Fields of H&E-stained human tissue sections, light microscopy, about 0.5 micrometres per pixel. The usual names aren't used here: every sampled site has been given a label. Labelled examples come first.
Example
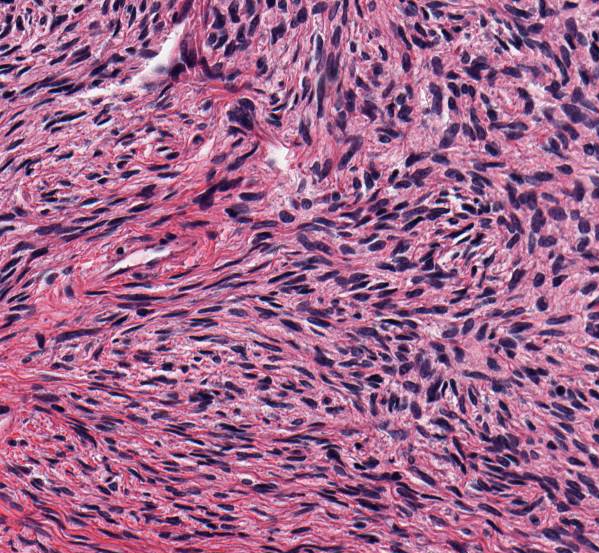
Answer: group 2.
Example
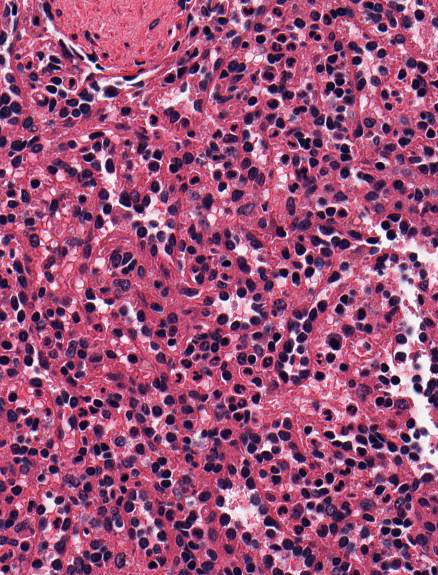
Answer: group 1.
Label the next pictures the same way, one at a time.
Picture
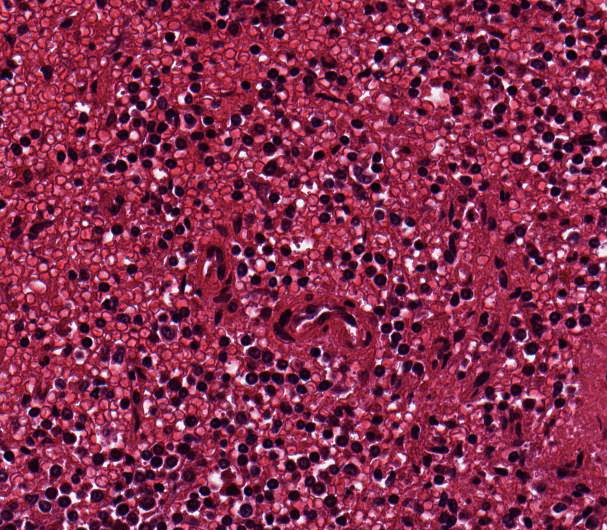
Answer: group 1.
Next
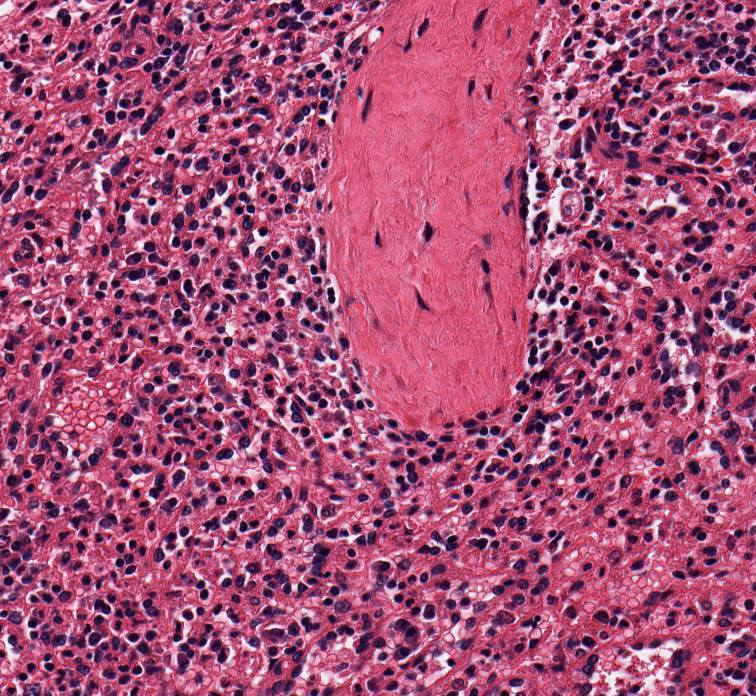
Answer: group 1.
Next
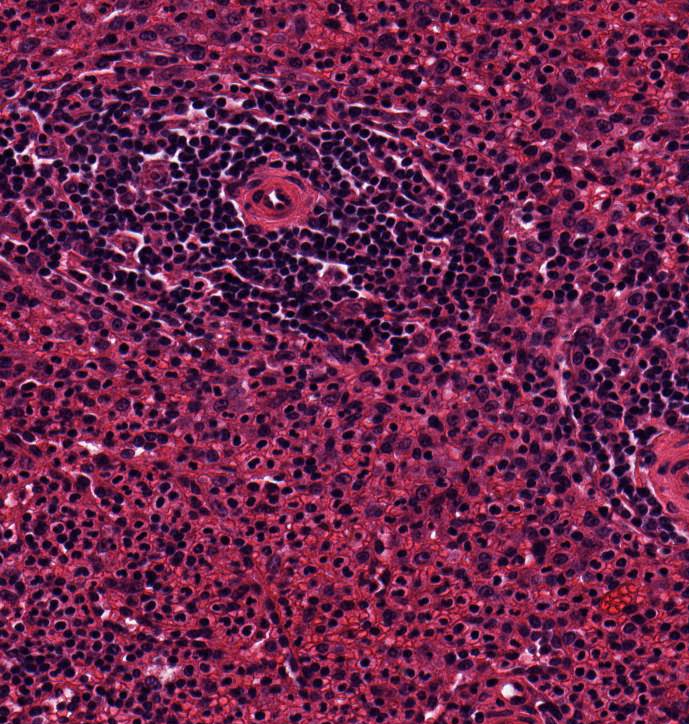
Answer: group 1.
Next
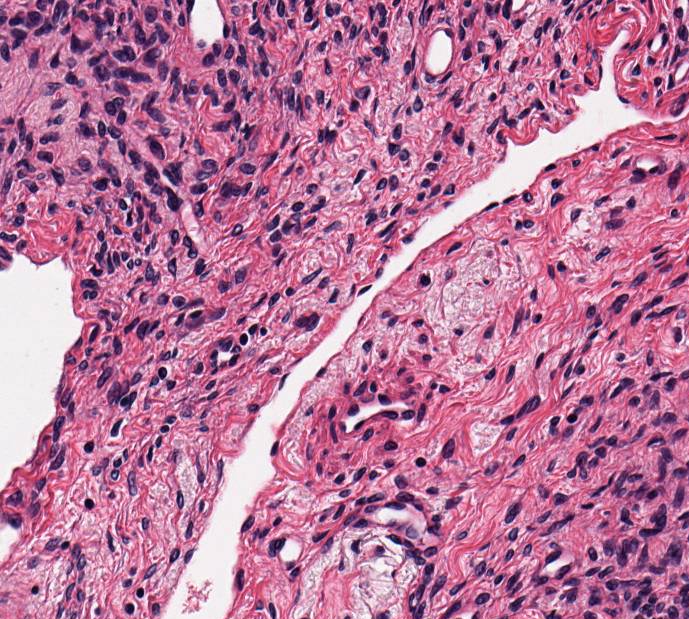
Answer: group 2.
